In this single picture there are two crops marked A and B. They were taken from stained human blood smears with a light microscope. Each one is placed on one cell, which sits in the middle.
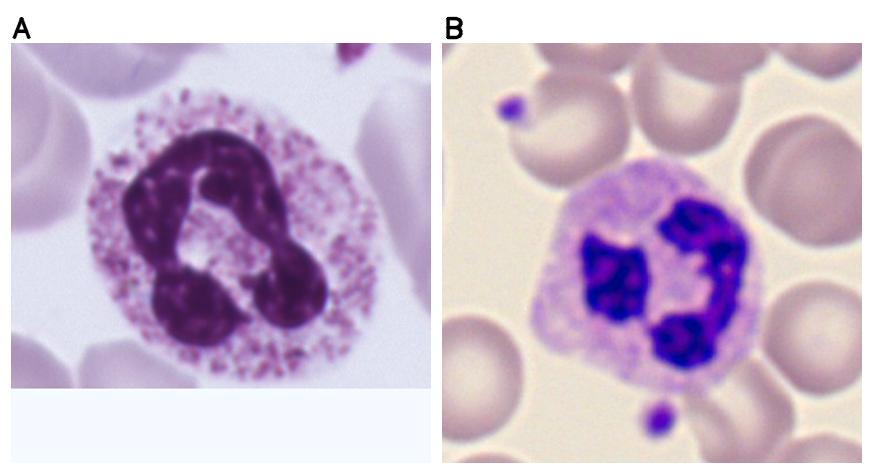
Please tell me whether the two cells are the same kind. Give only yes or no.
yes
